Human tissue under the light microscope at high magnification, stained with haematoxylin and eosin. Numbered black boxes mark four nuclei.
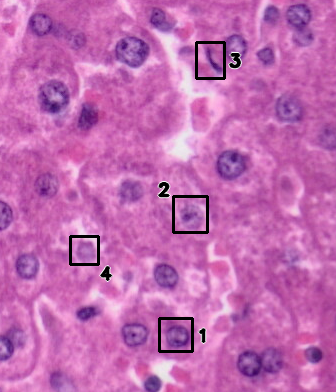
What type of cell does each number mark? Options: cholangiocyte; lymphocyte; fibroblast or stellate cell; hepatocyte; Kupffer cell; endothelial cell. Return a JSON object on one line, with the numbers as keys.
{"1": "hepatocyte", "2": "hepatocyte", "3": "fibroblast or stellate cell", "4": "hepatocyte"}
